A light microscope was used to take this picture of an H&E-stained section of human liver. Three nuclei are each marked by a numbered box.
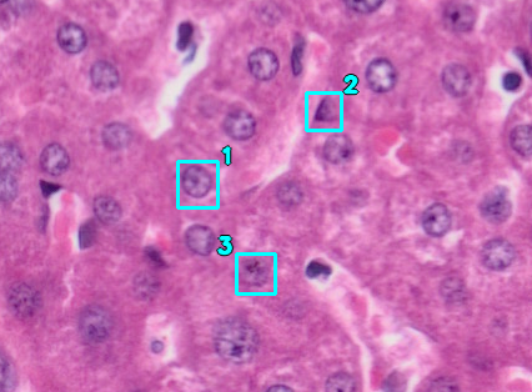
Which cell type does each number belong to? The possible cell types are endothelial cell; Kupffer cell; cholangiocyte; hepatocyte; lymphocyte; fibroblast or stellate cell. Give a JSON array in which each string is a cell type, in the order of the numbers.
["hepatocyte", "fibroblast or stellate cell", "hepatocyte"]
